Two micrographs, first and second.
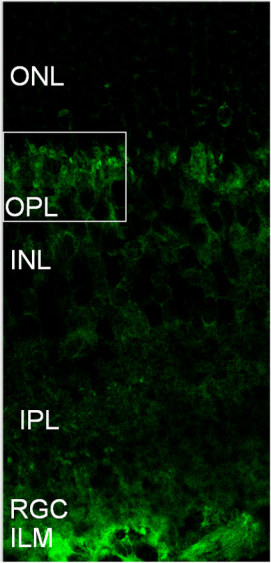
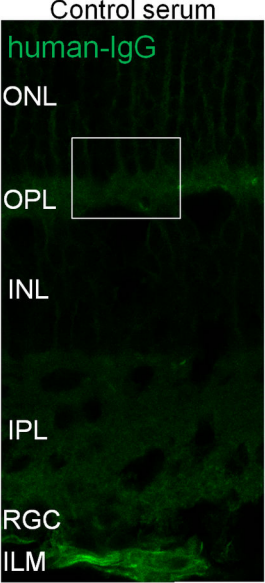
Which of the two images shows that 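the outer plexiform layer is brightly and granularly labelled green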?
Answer: The first image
